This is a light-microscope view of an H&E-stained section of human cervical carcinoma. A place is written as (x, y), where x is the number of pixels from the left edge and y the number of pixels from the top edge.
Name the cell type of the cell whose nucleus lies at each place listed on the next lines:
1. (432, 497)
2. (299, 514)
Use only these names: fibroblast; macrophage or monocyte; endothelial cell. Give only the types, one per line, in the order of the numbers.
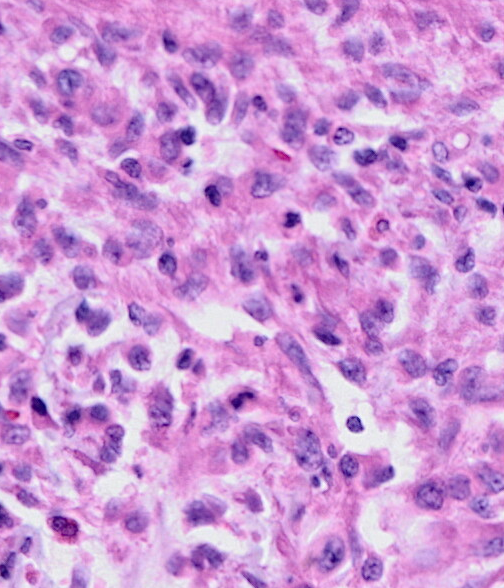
macrophage or monocyte
fibroblast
